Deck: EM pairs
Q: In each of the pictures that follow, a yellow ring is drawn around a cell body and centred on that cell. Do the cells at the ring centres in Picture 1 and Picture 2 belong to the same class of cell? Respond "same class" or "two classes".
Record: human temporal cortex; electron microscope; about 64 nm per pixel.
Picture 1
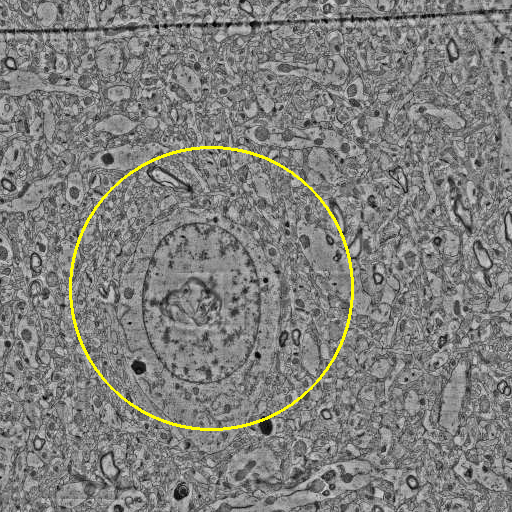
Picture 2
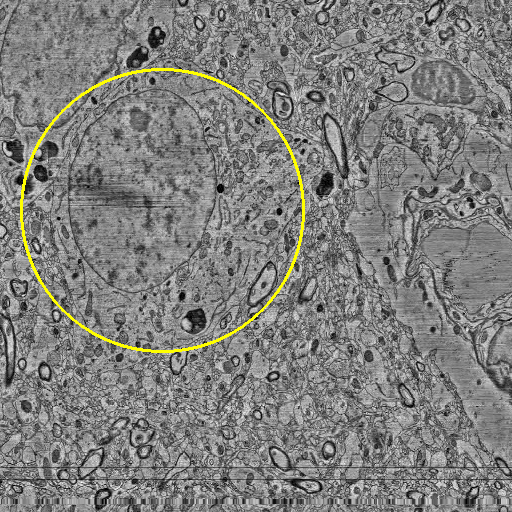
same class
